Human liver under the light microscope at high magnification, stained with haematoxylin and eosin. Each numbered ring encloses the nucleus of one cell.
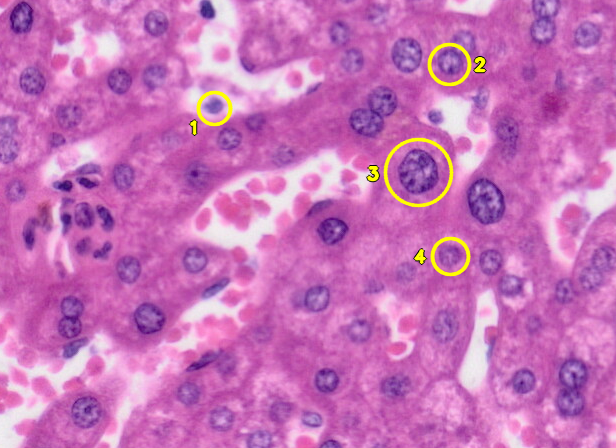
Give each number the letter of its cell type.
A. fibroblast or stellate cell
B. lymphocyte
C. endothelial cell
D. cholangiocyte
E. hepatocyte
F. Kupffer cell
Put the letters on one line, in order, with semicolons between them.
B; E; E; E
